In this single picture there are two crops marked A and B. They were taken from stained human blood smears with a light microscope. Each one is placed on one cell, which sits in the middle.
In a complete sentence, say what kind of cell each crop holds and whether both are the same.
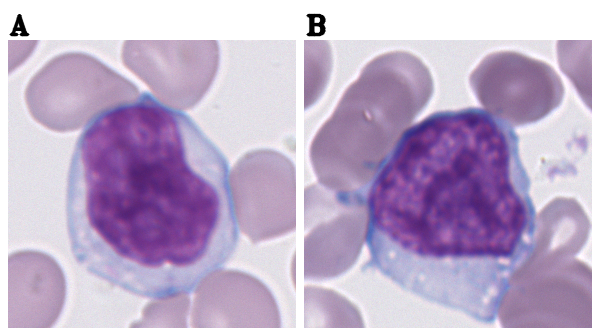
Yes, the middle cells in both crops are indeed blasts.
